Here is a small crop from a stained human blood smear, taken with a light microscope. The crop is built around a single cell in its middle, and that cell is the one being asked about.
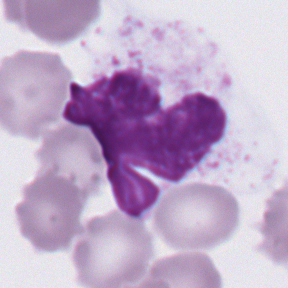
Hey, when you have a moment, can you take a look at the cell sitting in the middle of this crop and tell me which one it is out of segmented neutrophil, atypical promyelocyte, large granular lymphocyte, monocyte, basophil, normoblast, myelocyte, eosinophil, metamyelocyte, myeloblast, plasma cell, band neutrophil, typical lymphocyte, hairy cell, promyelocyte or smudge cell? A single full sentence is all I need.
Among the cells in view, the one in the middle is a segmented neutrophil.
